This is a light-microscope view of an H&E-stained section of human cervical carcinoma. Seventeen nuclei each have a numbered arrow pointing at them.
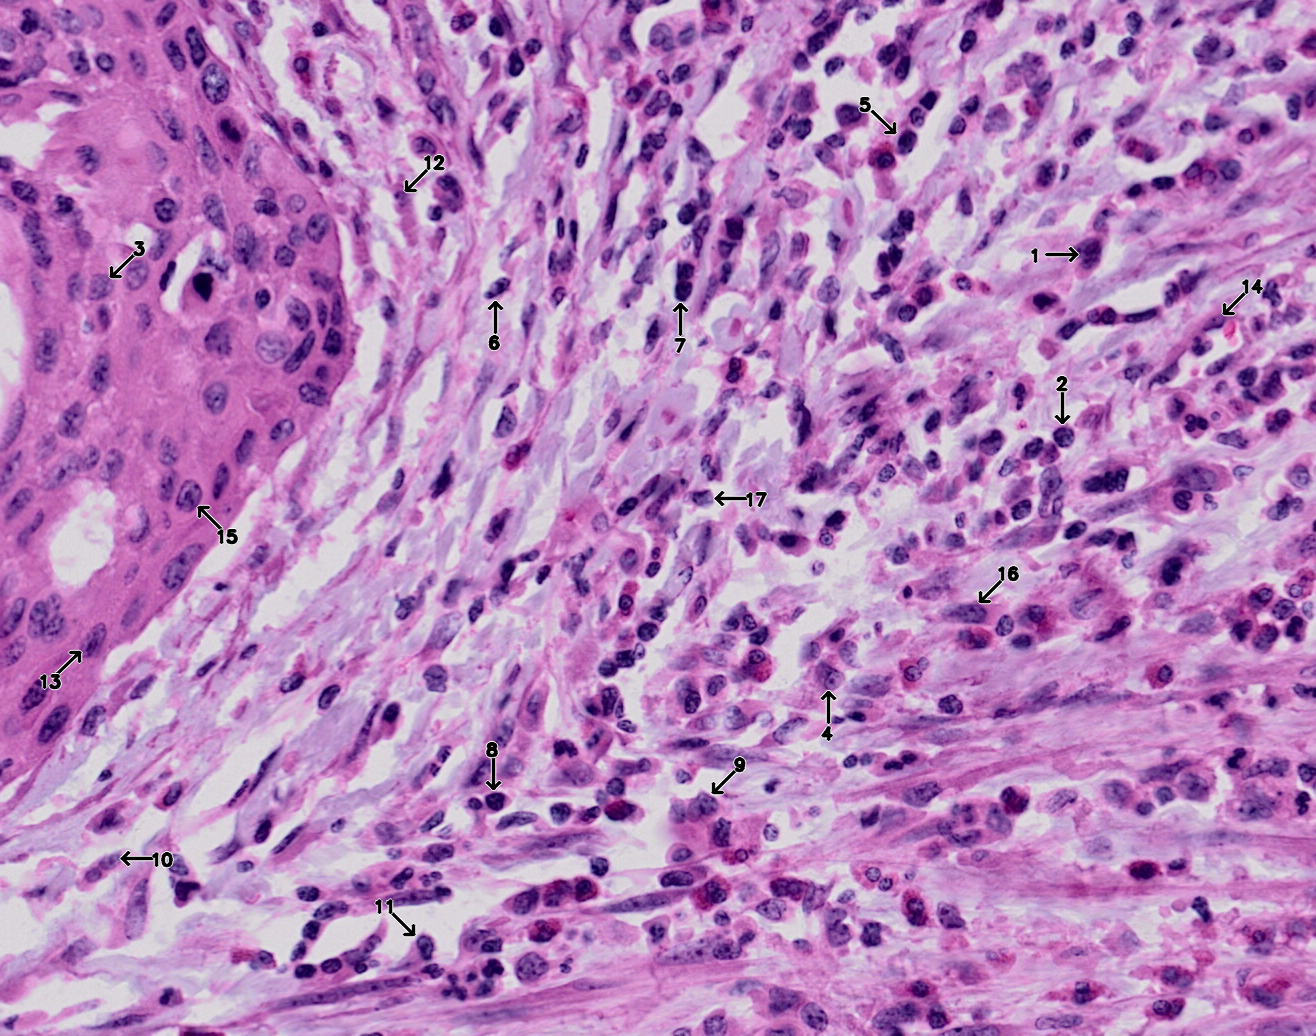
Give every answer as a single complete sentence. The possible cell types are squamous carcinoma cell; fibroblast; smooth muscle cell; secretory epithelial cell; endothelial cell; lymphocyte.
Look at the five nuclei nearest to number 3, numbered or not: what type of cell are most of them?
Around number 3, most of the five nearest nuclei are those of squamous carcinoma cells.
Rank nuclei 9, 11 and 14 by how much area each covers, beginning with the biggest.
From largest to smallest, the order is 9, 11, 14.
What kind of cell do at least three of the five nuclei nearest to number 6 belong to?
Fibroblasts make up most of the five nuclei closest to number 6.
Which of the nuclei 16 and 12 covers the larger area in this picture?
The larger nucleus is 16, at roughly 3 times the area of 12.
